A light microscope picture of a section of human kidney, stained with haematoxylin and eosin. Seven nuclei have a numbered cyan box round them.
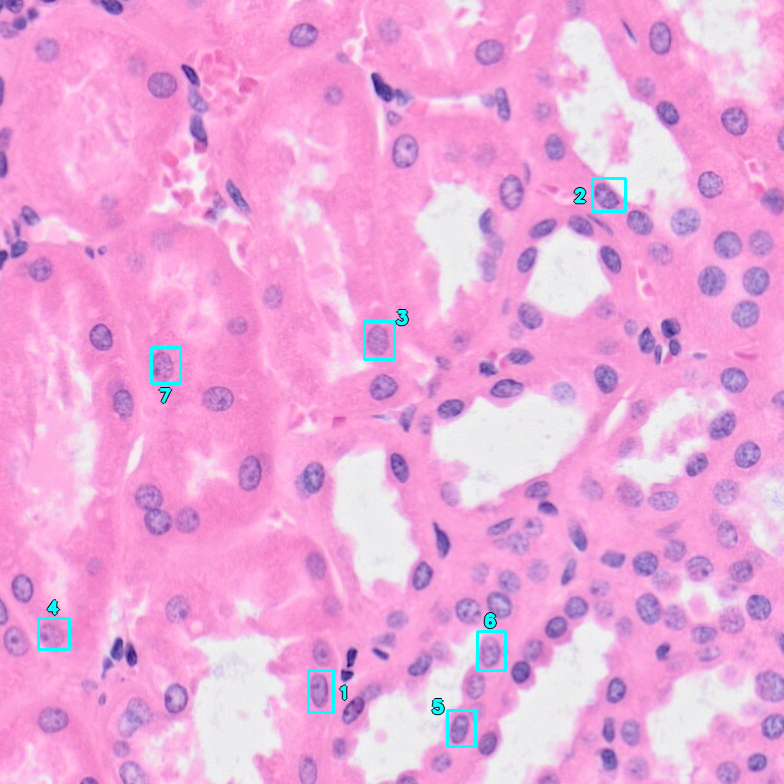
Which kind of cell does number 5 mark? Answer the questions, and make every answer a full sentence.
The cell that carries the label 5 is a loop of Henle or distal tubule cell.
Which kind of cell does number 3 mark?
The cell whose nucleus carries the number 3 is a proximal tubule cell.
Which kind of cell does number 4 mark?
The cell identified by the number 4 is a proximal tubule cell.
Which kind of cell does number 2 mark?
Cell 2 of the marked set is a loop of Henle or distal tubule cell.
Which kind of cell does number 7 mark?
What the number 7 marks in this field is a proximal tubule cell.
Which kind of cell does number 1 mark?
Among the marked nuclei, number 1 belongs to a proximal tubule cell.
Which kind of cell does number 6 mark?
The nucleus with number 6 is that of a loop of Henle or distal tubule cell.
